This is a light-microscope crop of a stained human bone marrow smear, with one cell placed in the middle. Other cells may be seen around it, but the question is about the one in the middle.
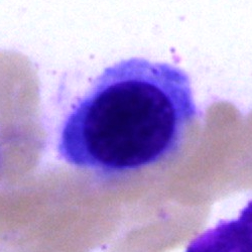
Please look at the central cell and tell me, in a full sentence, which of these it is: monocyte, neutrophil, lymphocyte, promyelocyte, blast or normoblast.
The cell of interest, in the center, is a normoblast.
